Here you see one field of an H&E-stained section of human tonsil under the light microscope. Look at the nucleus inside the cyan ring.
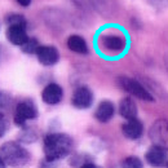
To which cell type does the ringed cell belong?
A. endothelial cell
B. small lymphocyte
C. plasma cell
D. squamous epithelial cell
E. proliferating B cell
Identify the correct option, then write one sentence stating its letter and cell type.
Under option A, the ringed cell is listed as an endothelial cell, which is correct.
